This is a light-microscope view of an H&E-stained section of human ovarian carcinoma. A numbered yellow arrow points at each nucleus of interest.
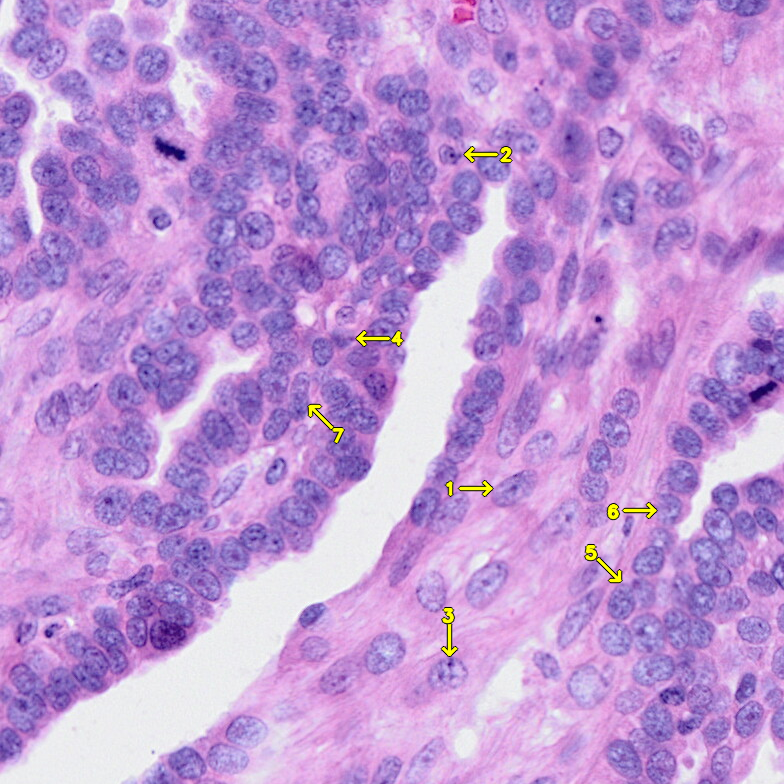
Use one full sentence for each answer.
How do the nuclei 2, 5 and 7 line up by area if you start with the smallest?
By area, going up from the smallest, they rank 2, 7, 5.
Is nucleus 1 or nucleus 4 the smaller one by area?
Nucleus 4 is the smaller one; nucleus 1 covers about 3 times its area.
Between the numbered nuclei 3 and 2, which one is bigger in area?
At about 2.5 times the area of nucleus 2, nucleus 3 is the larger of the two.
